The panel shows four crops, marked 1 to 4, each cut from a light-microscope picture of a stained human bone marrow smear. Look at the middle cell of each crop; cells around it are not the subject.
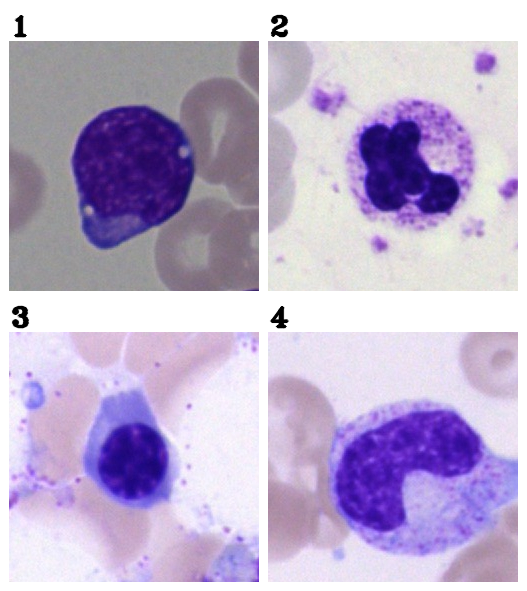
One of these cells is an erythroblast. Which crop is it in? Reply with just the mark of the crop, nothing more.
3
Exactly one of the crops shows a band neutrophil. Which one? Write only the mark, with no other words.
4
